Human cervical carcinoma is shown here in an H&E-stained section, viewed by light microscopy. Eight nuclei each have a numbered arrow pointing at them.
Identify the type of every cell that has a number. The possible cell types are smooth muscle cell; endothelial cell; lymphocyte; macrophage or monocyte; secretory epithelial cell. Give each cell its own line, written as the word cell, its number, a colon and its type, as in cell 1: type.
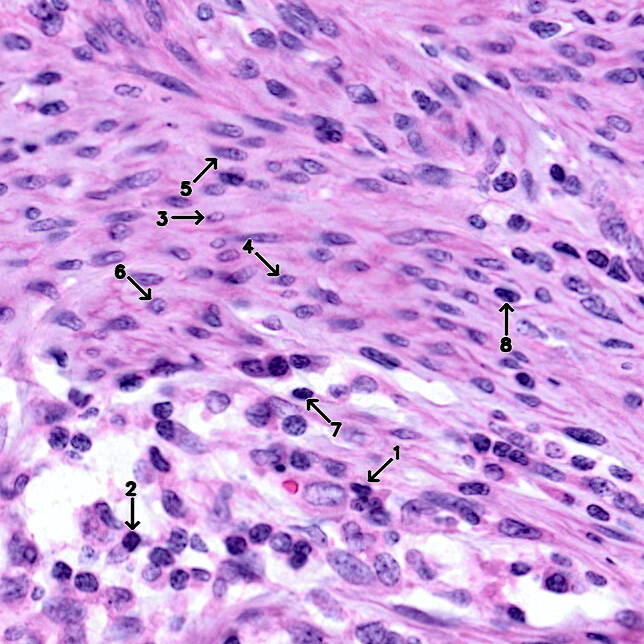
cell 1: lymphocyte
cell 2: lymphocyte
cell 3: smooth muscle cell
cell 4: smooth muscle cell
cell 5: smooth muscle cell
cell 6: smooth muscle cell
cell 7: lymphocyte
cell 8: lymphocyte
